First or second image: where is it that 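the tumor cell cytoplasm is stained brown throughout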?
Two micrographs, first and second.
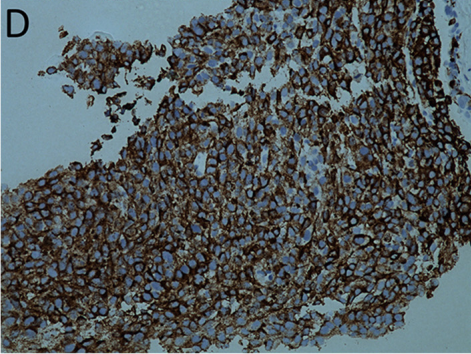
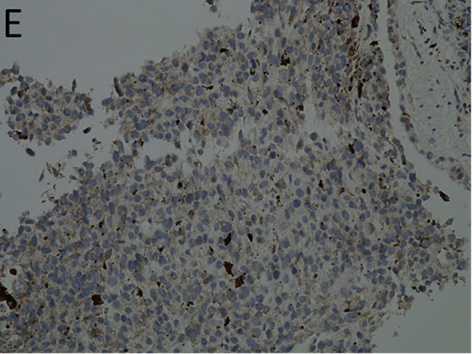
The first image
